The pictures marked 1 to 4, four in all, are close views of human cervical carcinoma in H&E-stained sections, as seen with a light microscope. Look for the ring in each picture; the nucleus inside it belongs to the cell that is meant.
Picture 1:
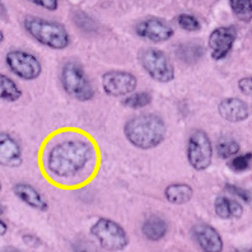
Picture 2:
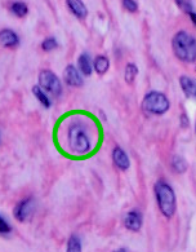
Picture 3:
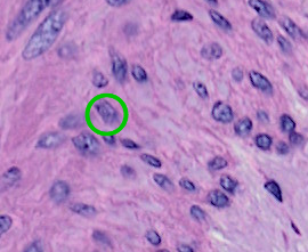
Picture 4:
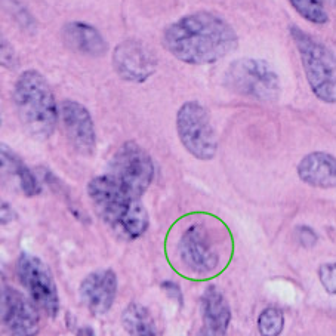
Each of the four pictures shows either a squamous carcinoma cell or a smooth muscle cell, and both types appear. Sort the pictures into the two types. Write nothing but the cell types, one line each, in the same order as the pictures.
squamous carcinoma cell
smooth muscle cell
smooth muscle cell
squamous carcinoma cell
